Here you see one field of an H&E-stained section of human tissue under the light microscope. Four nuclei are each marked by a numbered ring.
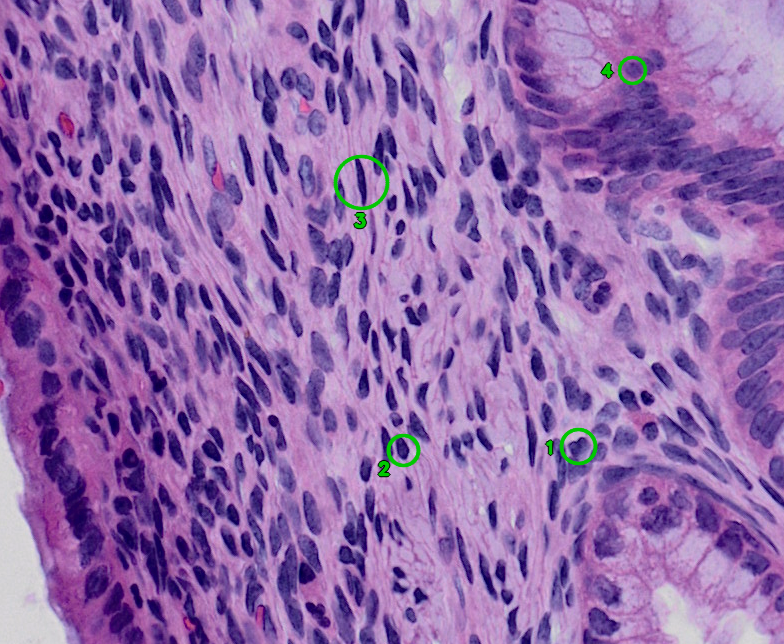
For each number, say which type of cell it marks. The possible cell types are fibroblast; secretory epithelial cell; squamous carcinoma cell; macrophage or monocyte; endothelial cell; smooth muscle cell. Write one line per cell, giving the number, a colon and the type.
1: fibroblast
2: fibroblast
3: fibroblast
4: secretory epithelial cell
